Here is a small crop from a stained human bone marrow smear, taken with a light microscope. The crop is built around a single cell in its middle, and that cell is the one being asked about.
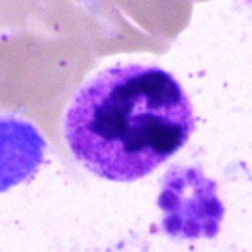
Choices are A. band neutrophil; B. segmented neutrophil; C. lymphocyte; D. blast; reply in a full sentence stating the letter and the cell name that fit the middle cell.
The middle cell of the crop is a segmented neutrophil; accordingly, option B is correct.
